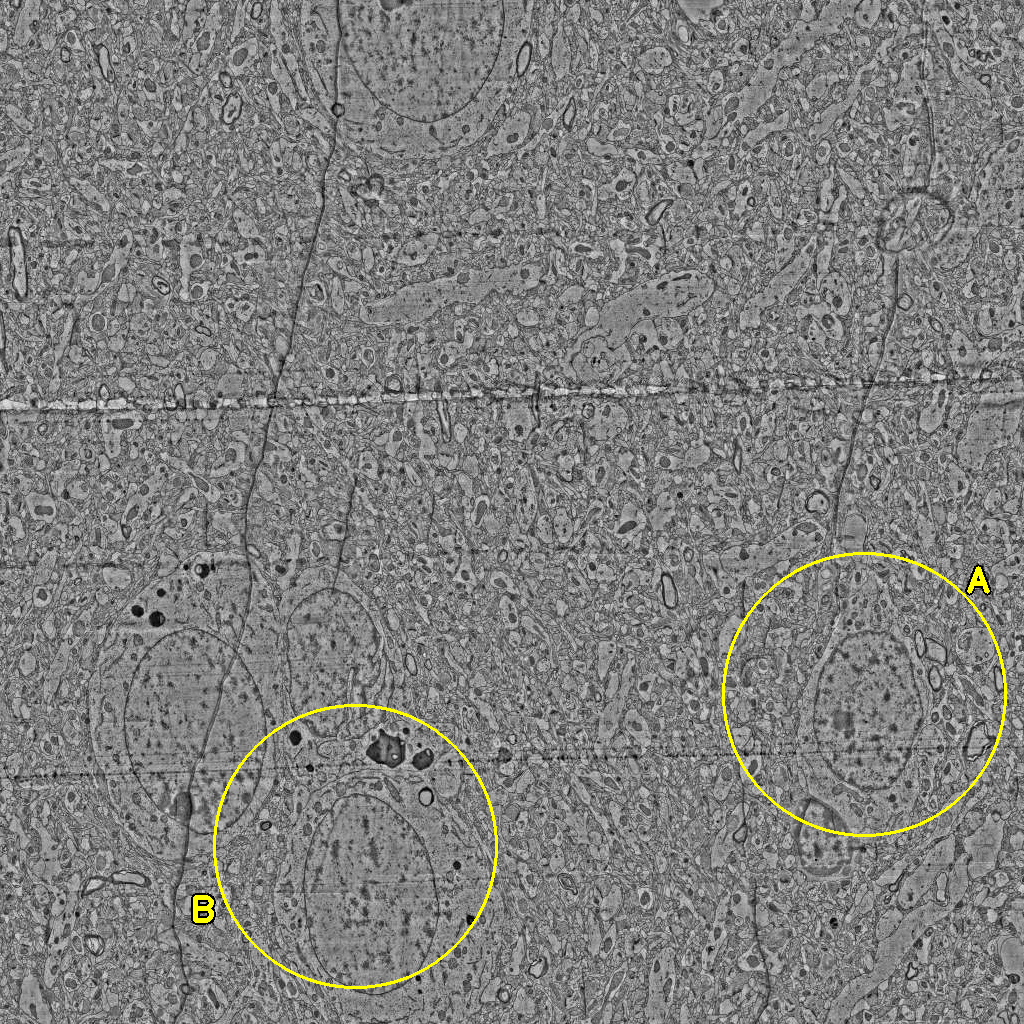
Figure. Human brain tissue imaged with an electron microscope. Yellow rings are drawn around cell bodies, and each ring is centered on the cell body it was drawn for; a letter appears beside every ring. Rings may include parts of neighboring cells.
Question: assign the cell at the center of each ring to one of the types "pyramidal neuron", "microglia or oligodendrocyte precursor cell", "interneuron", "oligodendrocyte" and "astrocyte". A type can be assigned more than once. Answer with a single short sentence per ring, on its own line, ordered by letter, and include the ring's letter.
Centered in ring A is an interneuron.
Centered in ring B is a pyramidal neuron.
